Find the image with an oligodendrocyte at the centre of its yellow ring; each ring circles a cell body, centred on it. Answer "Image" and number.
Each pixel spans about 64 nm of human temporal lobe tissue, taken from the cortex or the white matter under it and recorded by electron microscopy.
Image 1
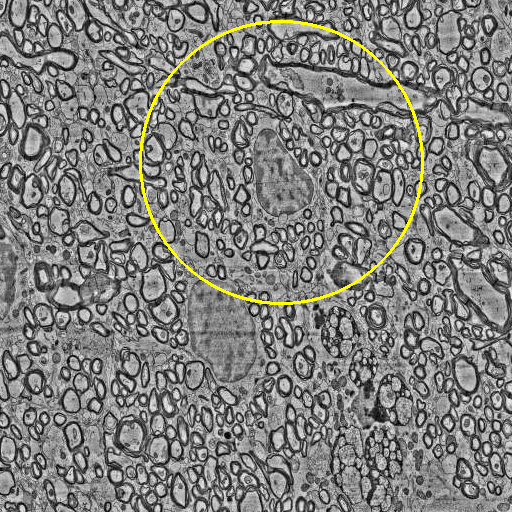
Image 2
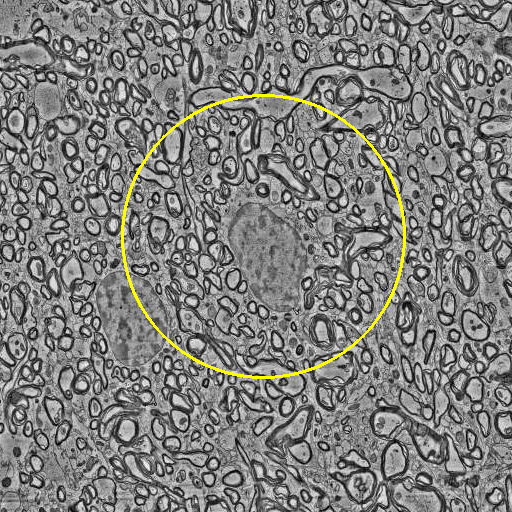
Image 2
